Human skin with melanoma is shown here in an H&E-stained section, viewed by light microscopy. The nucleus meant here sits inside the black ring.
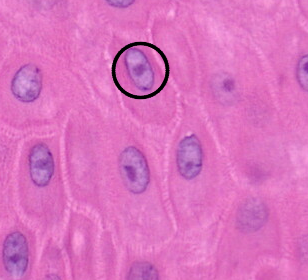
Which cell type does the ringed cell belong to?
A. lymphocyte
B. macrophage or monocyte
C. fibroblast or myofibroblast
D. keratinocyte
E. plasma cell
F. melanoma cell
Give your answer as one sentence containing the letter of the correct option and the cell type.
Option D is the one to take: the ringed cell is a keratinocyte.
